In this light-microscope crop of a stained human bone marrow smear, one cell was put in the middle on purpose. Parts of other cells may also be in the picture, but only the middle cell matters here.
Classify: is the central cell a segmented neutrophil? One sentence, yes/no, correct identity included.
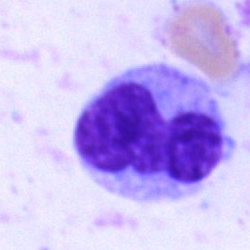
No, the central cell in this crop is a monocyte and not a segmented neutrophil.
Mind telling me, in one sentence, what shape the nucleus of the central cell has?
The nucleus is divided into two or more distinct lobes.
